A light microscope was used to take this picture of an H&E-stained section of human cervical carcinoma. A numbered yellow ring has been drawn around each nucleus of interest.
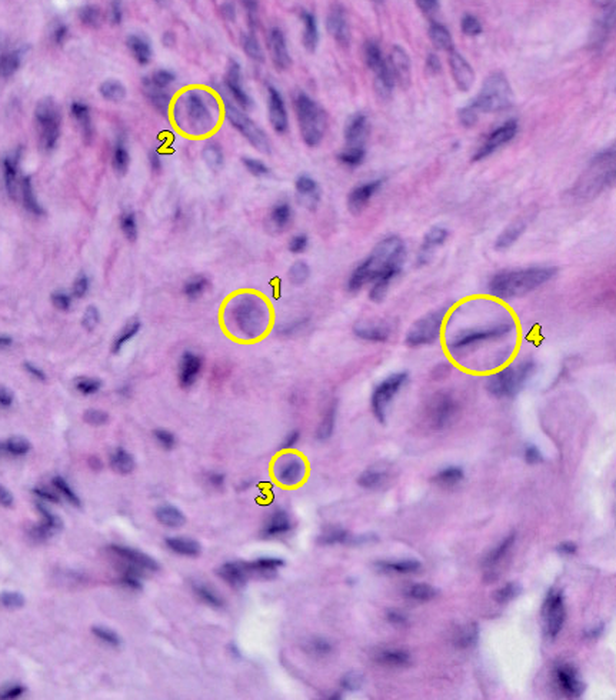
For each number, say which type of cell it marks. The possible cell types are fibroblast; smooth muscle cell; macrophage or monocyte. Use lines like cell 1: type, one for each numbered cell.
cell 1: smooth muscle cell
cell 2: smooth muscle cell
cell 3: fibroblast
cell 4: fibroblast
